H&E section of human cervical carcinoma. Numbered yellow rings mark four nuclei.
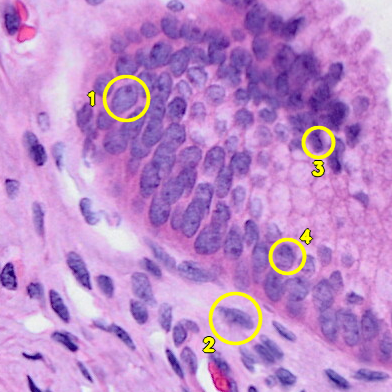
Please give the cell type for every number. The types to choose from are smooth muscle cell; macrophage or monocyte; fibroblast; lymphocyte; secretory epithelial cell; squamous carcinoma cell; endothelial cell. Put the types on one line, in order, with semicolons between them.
secretory epithelial cell; fibroblast; secretory epithelial cell; secretory epithelial cell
